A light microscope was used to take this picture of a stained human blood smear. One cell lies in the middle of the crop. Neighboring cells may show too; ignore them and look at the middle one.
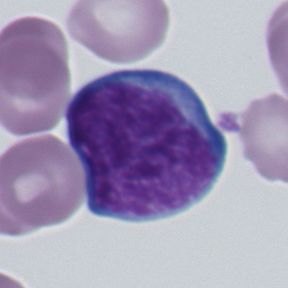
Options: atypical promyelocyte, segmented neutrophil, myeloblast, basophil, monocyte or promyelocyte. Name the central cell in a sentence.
The cell in the middle of the field of view is a myeloblast.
